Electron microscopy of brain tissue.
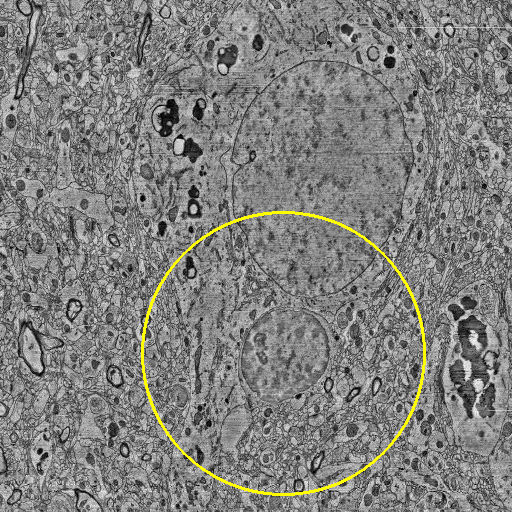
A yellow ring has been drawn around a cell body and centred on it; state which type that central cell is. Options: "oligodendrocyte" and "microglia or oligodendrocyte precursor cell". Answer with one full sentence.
The cell at the middle of the yellow ring is an oligodendrocyte in this picture.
